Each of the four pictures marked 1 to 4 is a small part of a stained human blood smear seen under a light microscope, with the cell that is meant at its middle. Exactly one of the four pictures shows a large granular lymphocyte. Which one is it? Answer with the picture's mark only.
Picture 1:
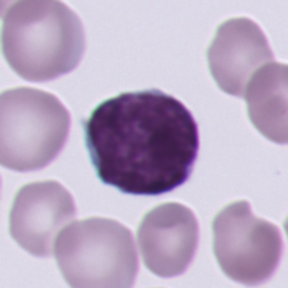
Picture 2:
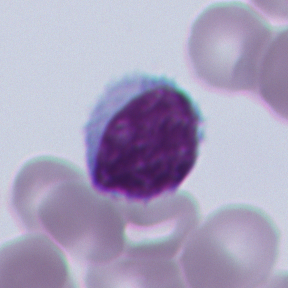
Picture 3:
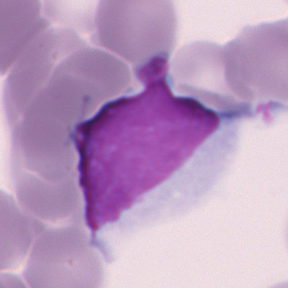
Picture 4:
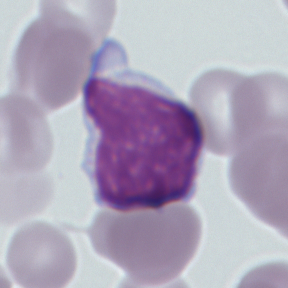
4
